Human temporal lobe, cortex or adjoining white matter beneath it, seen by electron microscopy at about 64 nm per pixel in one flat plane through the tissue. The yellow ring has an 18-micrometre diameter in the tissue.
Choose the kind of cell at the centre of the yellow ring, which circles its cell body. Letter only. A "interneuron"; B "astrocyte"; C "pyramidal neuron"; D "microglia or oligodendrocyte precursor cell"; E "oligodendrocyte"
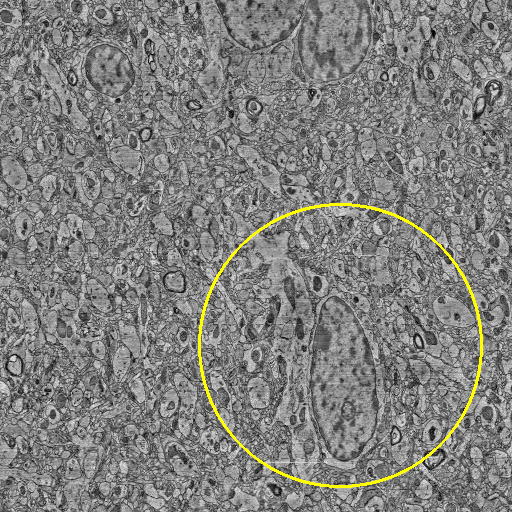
D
